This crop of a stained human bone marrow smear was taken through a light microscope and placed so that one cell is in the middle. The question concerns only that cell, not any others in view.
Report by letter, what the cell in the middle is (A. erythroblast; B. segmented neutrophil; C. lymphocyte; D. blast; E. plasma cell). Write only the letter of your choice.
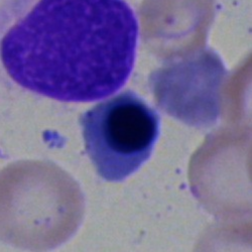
A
